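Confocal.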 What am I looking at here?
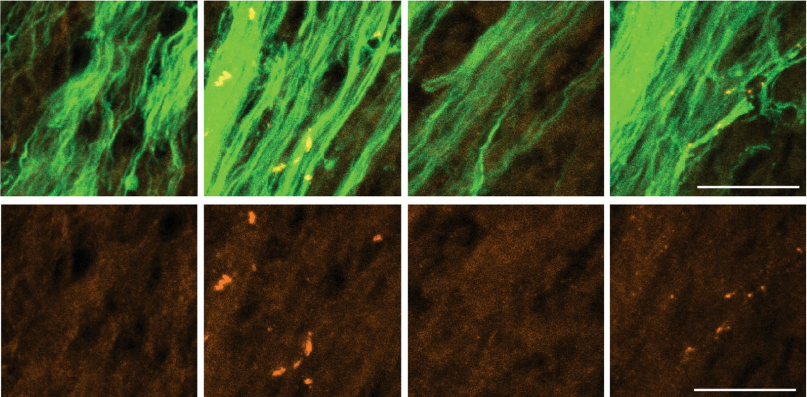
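The fibres branch and splay a little at their edges, and the surrounding tissue is dark with faint rounded shadows of other cells. In the lower row the red channel alone is shown: in some images it forms small bright dots lying along the course of the fibres, focal accumulations, while in others it stays a faint, even haze with no distinct spots.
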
